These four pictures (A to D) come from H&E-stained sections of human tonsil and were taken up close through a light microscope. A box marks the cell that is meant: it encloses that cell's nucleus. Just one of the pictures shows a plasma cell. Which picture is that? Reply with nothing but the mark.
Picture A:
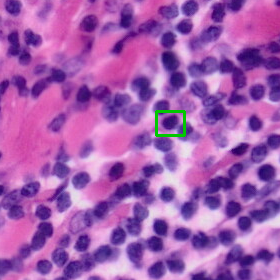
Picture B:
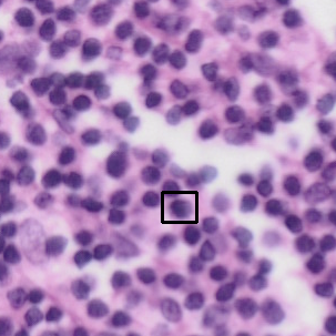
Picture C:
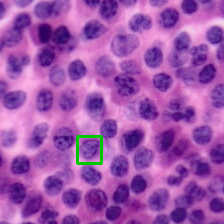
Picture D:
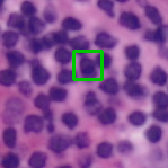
C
